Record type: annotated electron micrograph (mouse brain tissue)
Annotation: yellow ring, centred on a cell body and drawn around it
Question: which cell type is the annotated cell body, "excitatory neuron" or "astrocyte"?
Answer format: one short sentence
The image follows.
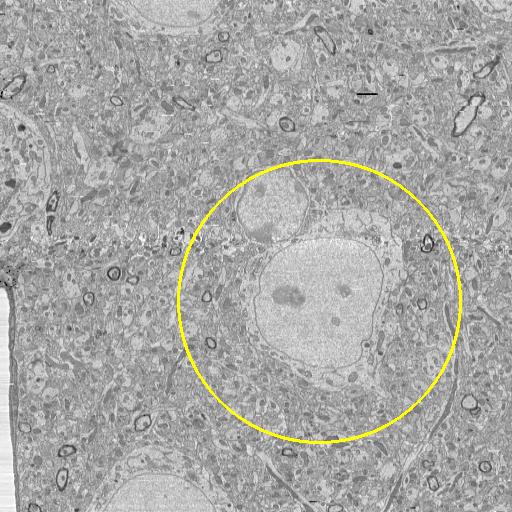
The annotated cell body is that of an excitatory neuron.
